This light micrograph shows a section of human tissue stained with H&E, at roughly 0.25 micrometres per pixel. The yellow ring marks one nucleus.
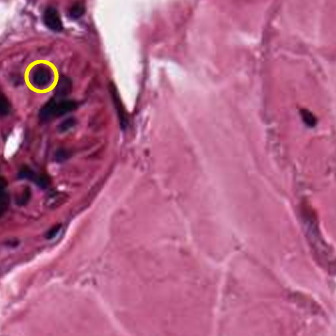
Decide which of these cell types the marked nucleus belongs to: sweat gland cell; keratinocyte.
sweat gland cell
